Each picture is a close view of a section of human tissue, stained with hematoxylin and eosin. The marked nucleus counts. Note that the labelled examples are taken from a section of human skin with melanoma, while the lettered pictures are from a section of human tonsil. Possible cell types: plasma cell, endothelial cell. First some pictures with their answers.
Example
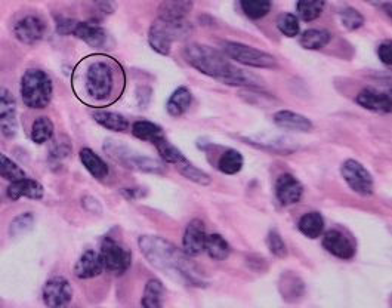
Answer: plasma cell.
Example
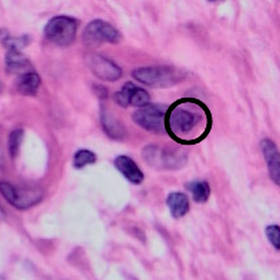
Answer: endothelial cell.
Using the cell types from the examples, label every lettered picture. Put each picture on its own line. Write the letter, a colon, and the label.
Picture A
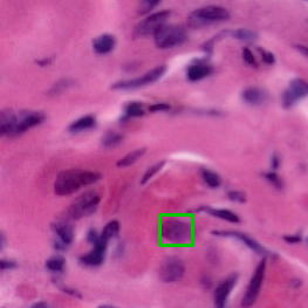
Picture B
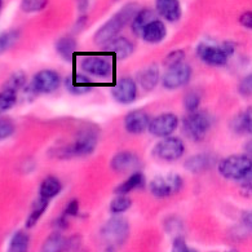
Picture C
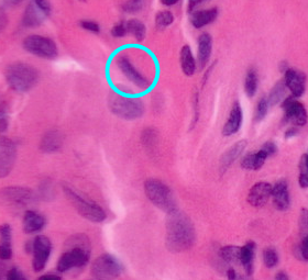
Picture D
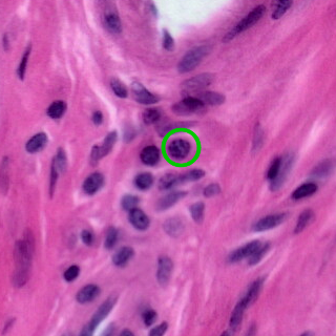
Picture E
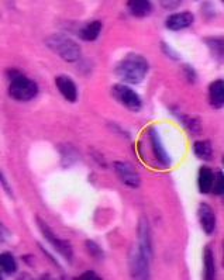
A: endothelial cell.
B: plasma cell.
C: endothelial cell.
D: plasma cell.
E: endothelial cell.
